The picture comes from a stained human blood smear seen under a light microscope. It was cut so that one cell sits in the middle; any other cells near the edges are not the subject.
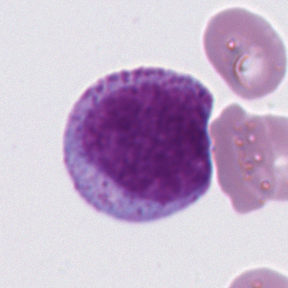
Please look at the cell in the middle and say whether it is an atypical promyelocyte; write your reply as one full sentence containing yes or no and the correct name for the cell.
No, the central cell is a myelocyte; it should not be labelled an atypical promyelocyte.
